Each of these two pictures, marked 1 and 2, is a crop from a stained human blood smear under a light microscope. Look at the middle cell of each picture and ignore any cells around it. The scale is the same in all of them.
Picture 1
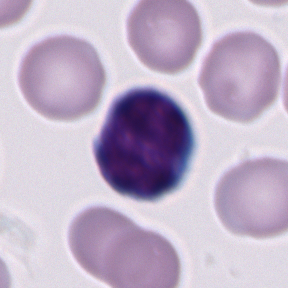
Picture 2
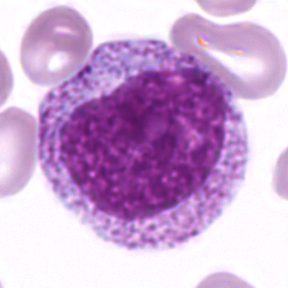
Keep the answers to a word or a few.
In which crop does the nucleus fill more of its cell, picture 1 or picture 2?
1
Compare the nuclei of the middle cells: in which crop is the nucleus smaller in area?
1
